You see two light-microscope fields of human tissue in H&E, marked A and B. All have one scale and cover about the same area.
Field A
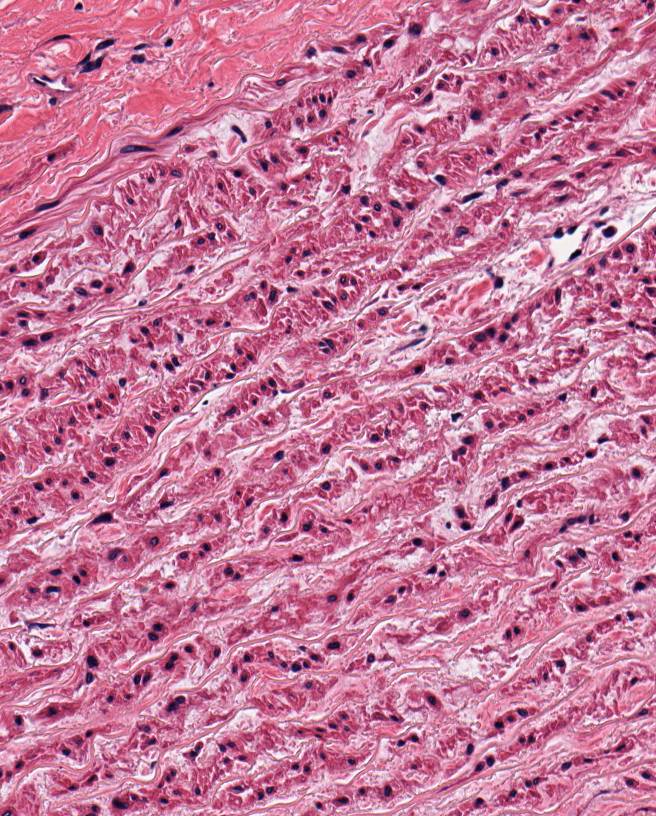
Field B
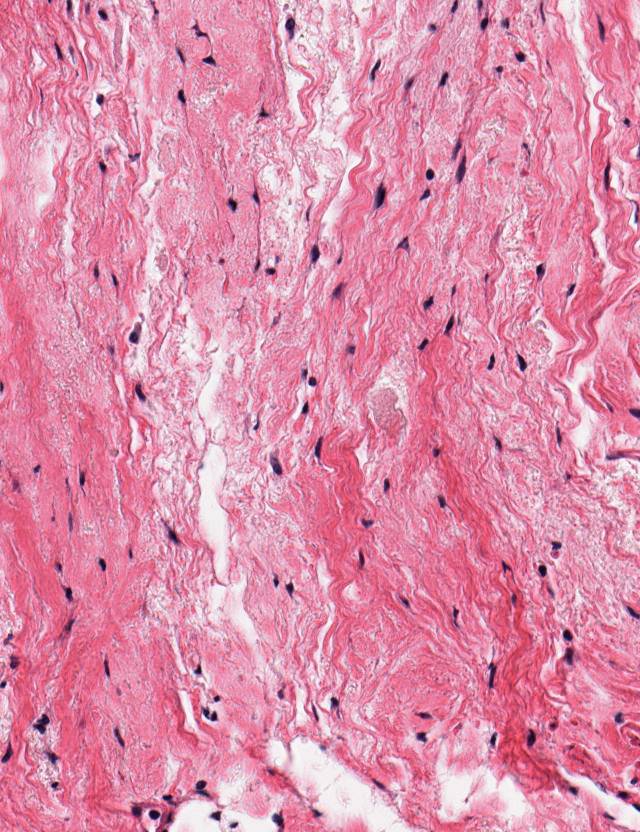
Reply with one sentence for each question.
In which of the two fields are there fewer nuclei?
Fewer nuclei lie in field B than in field A.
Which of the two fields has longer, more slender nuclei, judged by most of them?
Longer, more slender nuclei lie in field B.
